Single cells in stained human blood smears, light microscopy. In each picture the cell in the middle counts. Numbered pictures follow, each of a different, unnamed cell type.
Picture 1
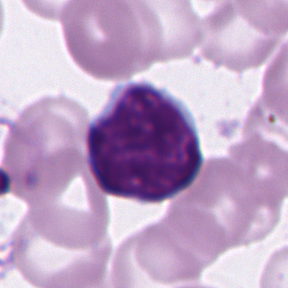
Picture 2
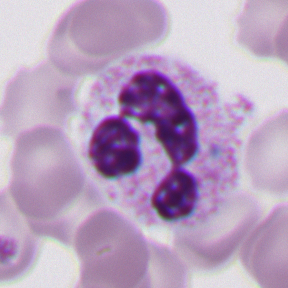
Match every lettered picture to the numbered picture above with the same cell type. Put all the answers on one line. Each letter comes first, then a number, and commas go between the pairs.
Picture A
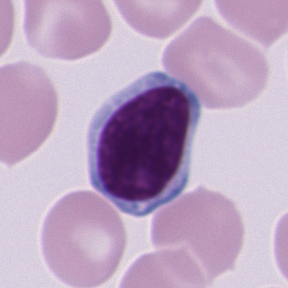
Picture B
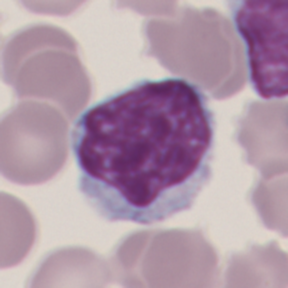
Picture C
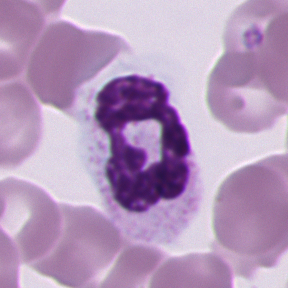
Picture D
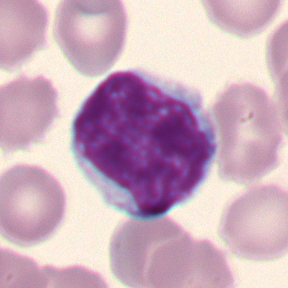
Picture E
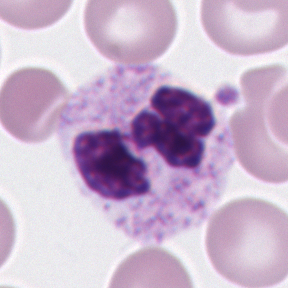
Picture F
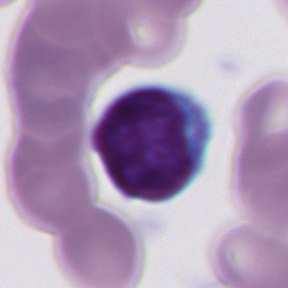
A 1, B 1, C 2, D 1, E 2, F 1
